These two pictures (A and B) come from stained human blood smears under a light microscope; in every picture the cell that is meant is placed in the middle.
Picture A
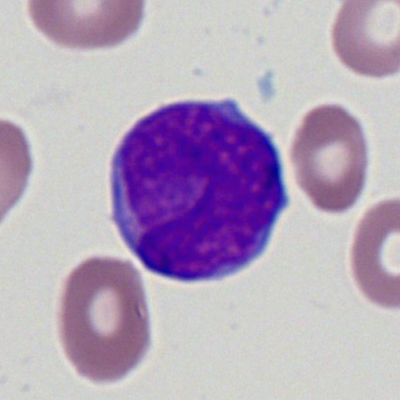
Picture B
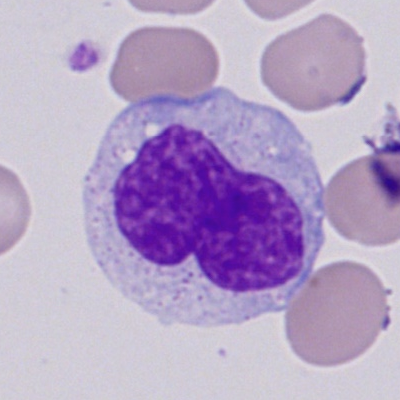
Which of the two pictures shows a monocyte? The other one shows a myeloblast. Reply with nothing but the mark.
B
